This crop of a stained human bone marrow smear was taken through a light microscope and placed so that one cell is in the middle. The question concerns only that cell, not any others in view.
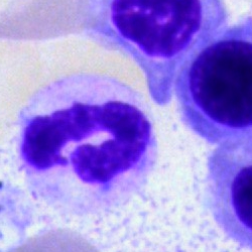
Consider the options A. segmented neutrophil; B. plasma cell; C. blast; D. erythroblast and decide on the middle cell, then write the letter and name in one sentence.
Option A is to be chosen, as the central cell is a segmented neutrophil.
